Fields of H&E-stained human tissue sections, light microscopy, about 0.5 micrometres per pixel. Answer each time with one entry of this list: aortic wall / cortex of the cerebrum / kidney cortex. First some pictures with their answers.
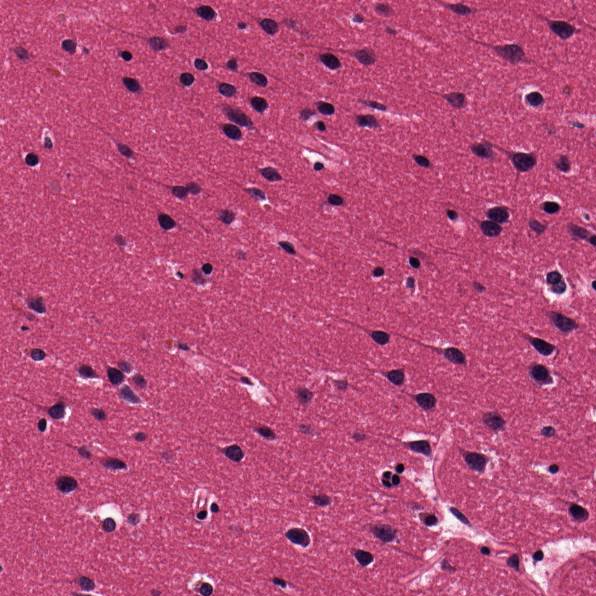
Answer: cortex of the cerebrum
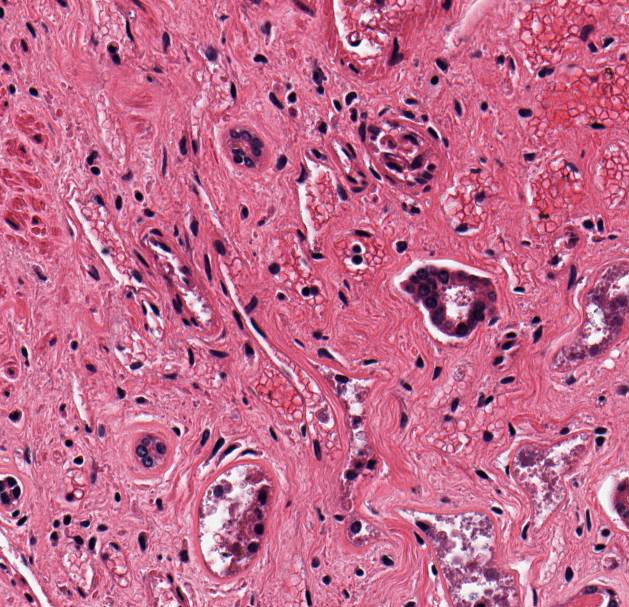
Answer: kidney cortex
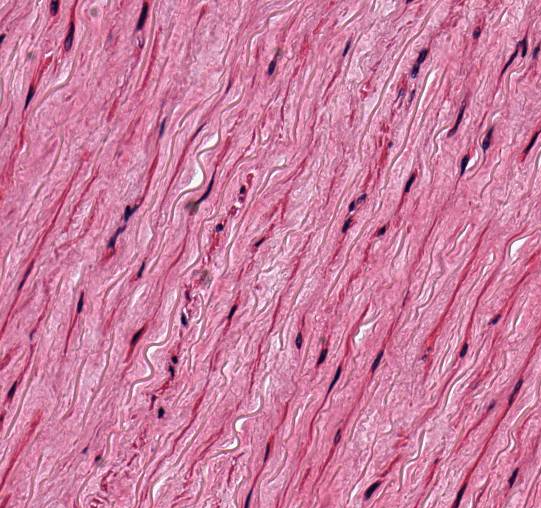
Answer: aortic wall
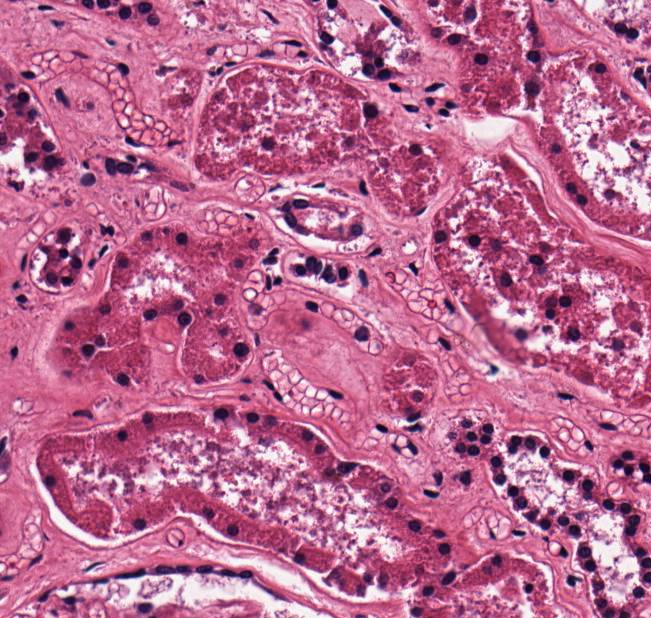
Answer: kidney cortex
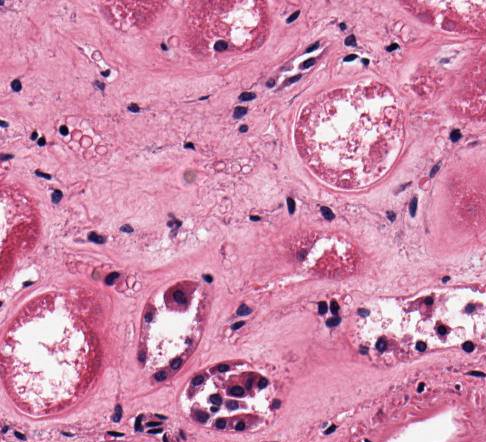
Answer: kidney cortex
